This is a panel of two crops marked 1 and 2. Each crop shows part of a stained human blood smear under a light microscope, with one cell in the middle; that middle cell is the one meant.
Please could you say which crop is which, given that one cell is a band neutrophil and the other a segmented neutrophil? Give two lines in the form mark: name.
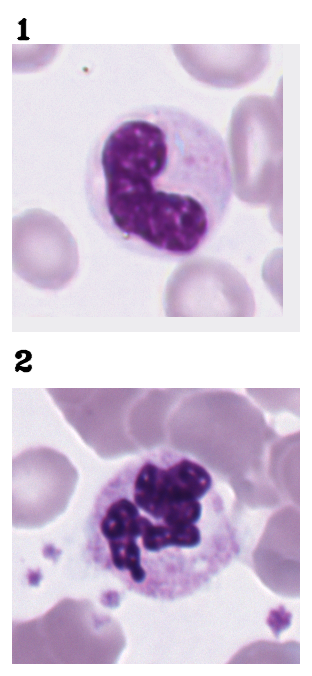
1: band neutrophil
2: segmented neutrophil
